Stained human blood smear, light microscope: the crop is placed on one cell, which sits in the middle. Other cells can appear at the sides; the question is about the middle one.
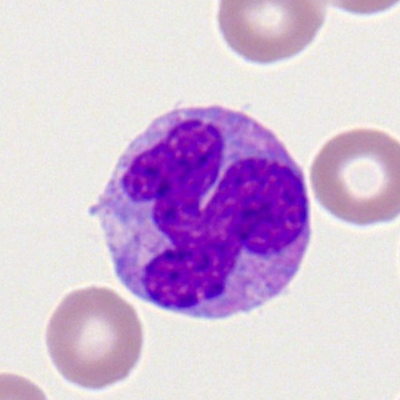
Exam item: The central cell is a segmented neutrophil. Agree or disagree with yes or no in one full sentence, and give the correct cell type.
No, the central cell is identified not as a segmented neutrophil but as a monocyte.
